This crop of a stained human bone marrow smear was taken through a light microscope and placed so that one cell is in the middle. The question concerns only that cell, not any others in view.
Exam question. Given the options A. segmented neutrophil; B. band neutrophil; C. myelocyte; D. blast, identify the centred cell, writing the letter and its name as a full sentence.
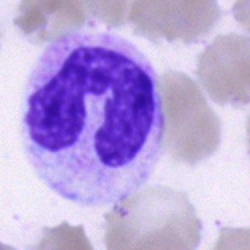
Since the cell in the centre is a band neutrophil, the correct option is B.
